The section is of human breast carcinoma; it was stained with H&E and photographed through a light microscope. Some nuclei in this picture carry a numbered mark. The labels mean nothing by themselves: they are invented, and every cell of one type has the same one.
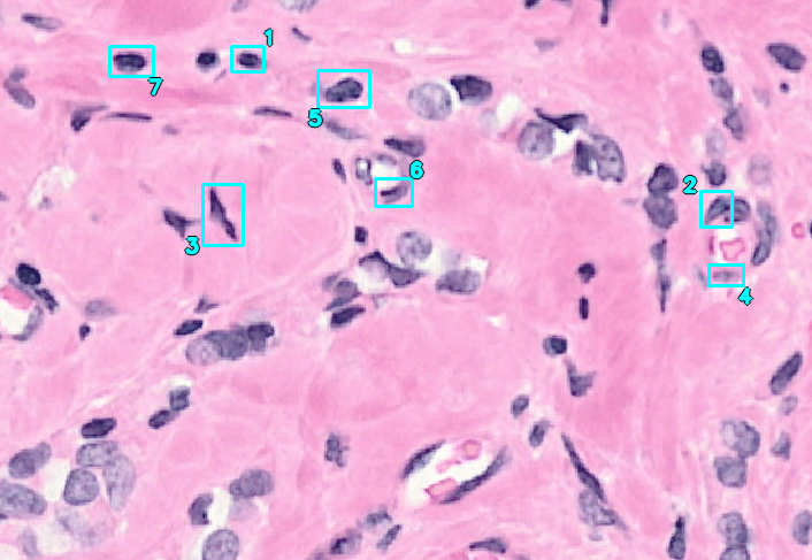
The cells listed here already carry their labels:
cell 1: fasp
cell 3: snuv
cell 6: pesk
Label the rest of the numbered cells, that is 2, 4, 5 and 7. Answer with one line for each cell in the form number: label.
2: pesk
4: pesk
5: fasp
7: fasp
